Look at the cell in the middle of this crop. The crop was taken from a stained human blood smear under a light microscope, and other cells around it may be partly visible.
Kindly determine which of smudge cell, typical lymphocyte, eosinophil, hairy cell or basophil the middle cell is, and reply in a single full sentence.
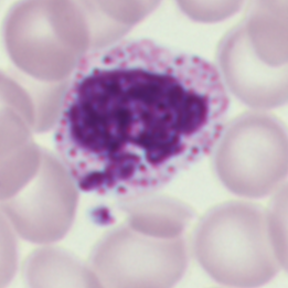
Located at the centre of the crop is a basophil.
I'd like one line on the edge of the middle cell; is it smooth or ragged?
Its outline is ragged or drawn out into projections, not smooth.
